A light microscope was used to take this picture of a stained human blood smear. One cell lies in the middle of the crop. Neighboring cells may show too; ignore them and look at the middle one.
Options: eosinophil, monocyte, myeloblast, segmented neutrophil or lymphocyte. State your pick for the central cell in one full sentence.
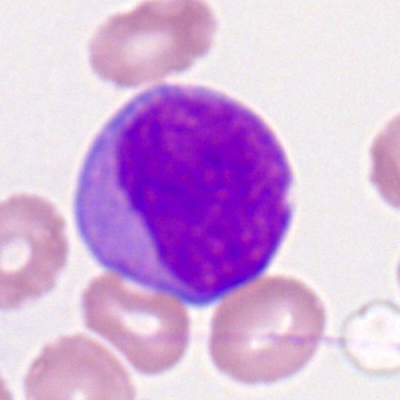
The cell centered in this field of view is a myeloblast.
